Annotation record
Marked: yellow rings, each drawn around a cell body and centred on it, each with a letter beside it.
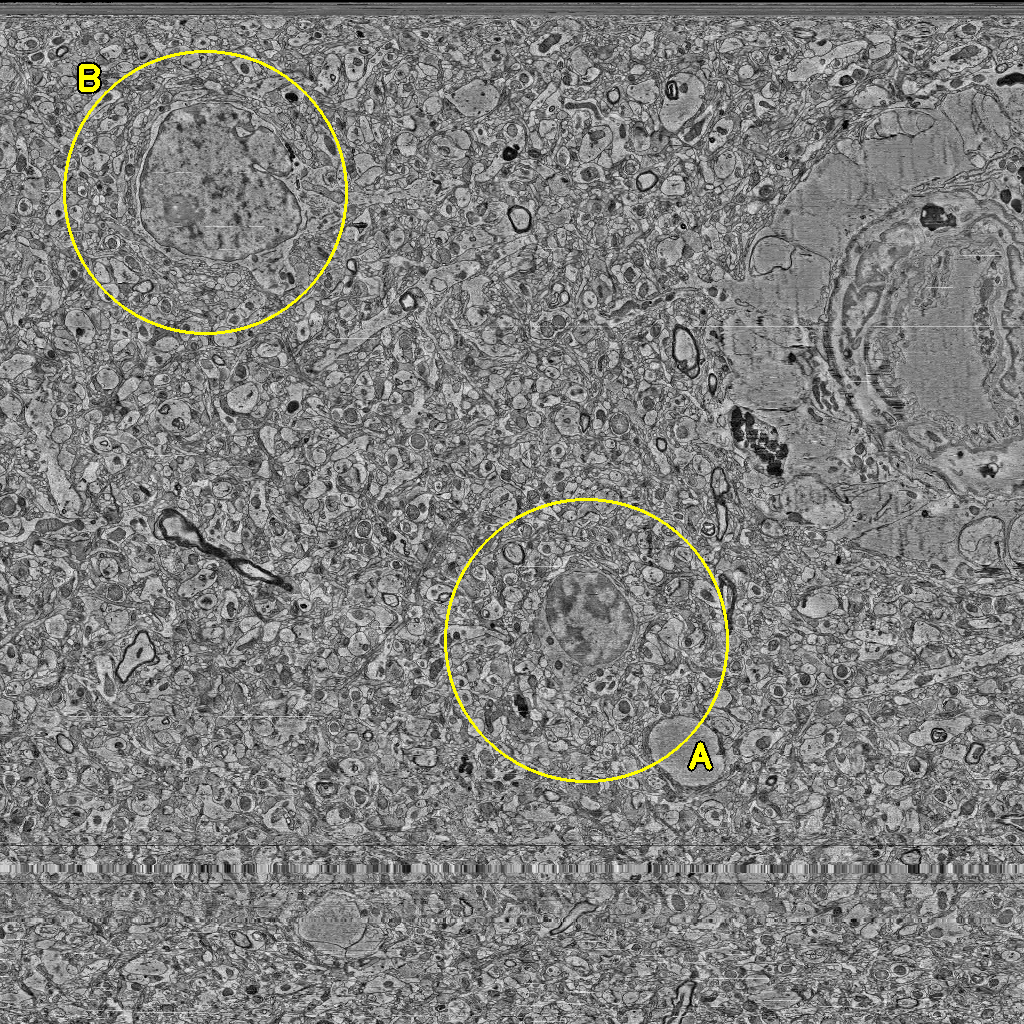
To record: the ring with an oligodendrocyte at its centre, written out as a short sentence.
The ring centred on it is ring A.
